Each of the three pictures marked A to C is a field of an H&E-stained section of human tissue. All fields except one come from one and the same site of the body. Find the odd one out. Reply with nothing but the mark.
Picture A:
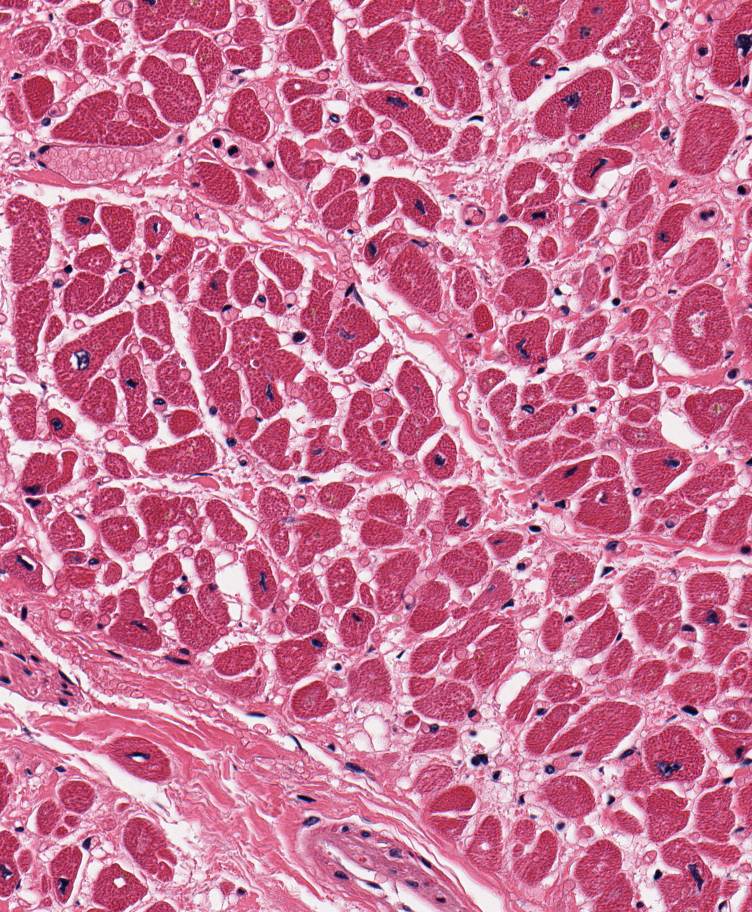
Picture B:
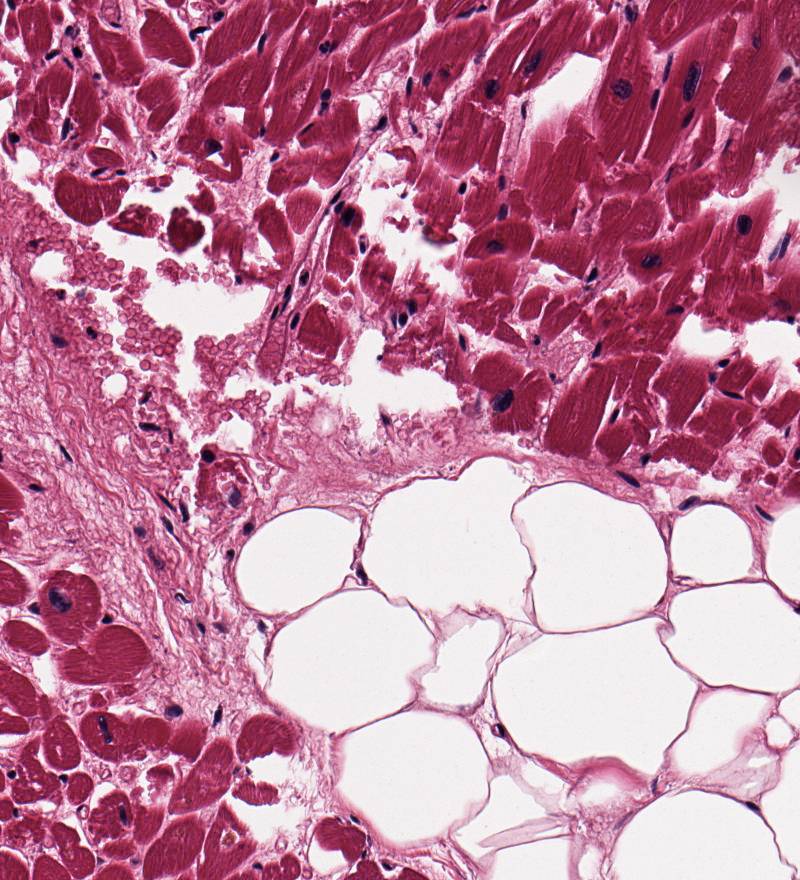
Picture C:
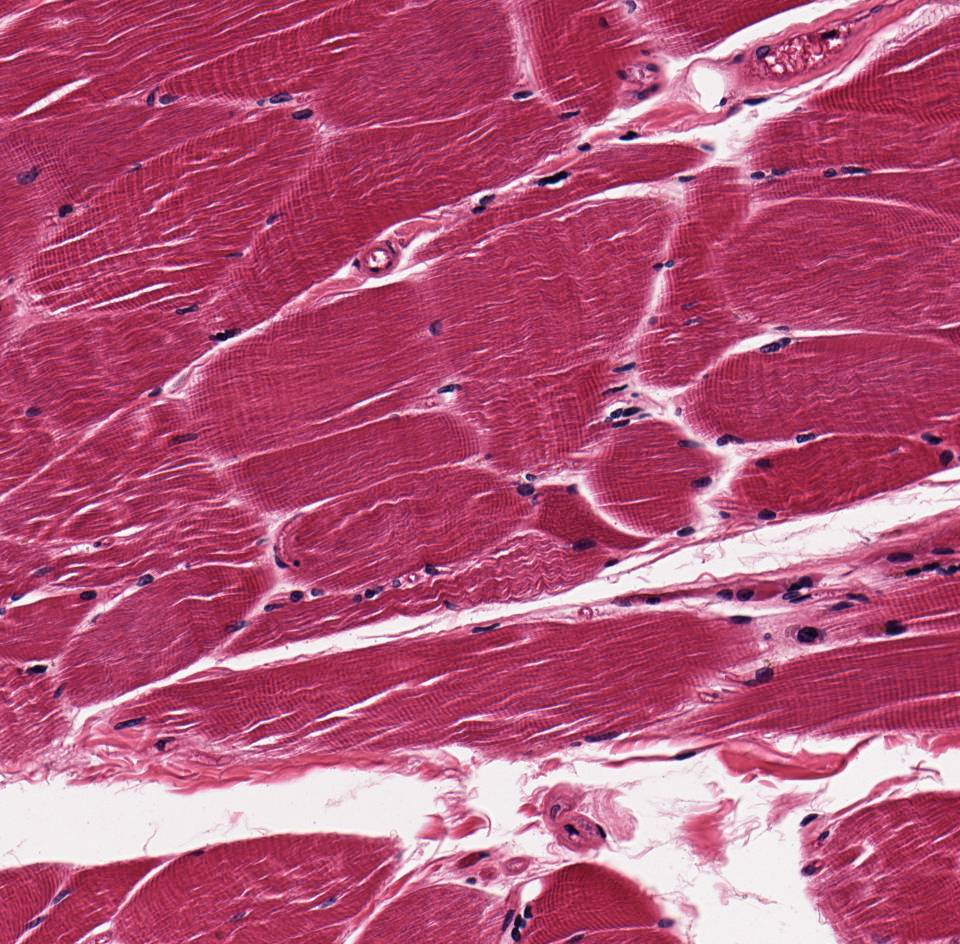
C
